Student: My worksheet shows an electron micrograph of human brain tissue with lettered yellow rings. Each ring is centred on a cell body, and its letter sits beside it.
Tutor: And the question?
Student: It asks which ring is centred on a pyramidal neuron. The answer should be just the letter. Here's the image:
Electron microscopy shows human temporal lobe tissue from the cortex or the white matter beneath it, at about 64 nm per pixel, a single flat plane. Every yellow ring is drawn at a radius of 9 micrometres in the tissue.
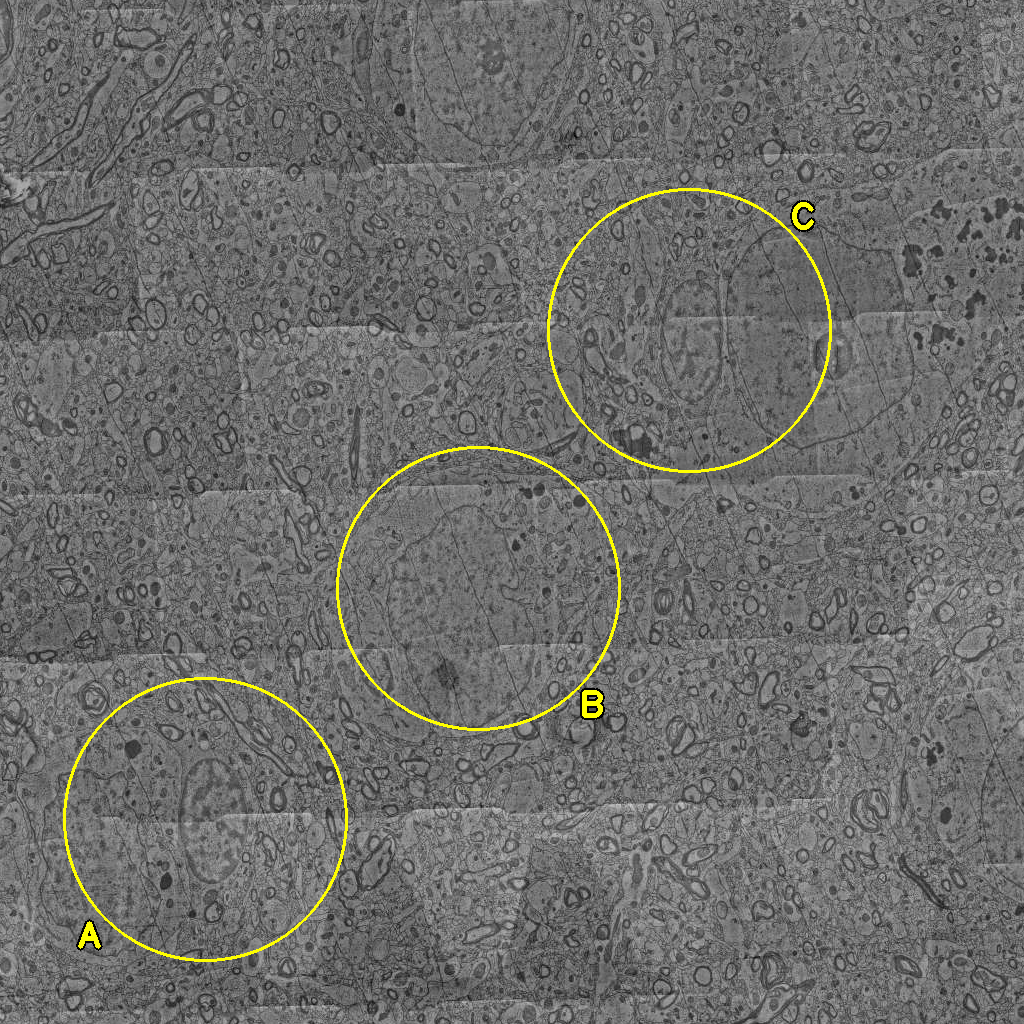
B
